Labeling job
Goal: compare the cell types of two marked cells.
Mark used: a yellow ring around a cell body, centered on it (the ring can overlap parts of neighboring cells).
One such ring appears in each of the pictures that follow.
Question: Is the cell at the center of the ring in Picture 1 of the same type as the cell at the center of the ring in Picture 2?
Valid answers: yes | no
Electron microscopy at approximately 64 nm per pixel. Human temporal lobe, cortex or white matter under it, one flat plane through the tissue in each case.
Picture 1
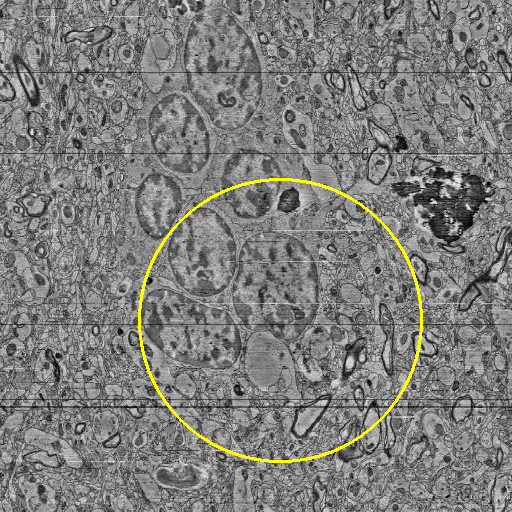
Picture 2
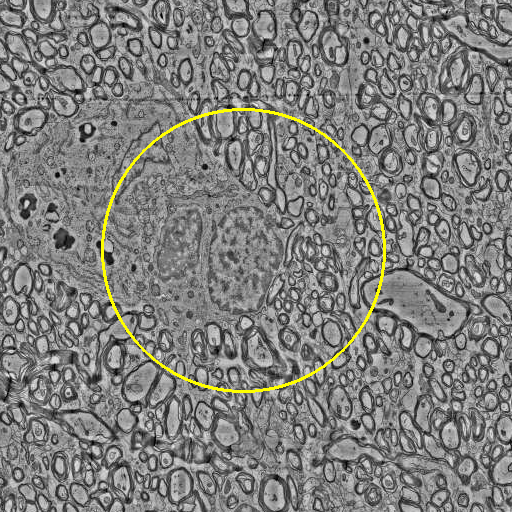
yes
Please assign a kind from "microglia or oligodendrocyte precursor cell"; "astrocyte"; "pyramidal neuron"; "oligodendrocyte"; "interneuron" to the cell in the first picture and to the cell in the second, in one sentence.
Each of the two cells is an oligodendrocyte.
